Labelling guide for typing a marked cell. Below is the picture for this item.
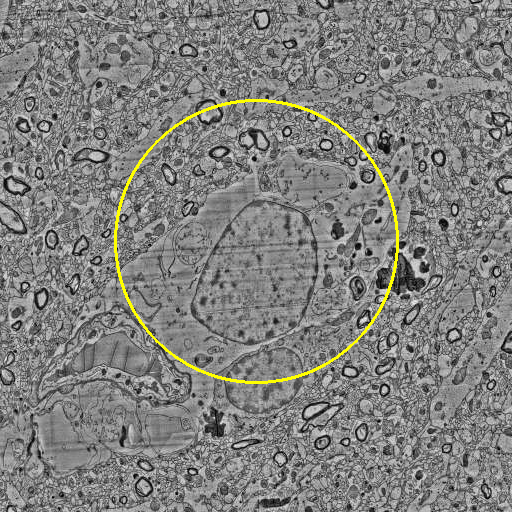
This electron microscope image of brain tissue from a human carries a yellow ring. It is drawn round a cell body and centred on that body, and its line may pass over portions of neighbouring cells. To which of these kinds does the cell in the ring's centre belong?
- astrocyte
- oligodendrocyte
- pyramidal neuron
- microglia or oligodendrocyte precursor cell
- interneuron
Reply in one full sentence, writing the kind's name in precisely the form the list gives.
Here we have an astrocyte at the centre of the yellow ring in the picture.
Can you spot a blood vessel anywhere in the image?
Yes, one shows.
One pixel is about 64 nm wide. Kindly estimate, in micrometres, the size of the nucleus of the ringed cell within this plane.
About 10 micrometres by about 7 micrometres in this plane.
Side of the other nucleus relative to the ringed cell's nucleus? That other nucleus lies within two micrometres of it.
That other nucleus sits below it.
